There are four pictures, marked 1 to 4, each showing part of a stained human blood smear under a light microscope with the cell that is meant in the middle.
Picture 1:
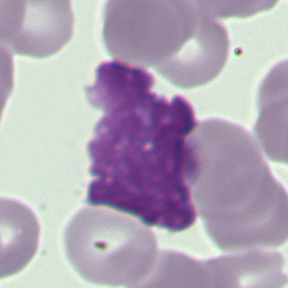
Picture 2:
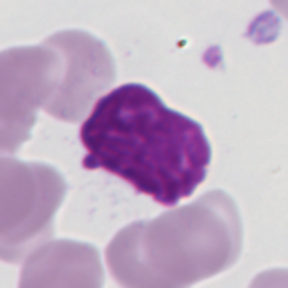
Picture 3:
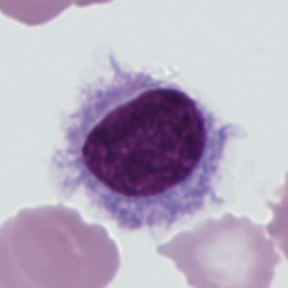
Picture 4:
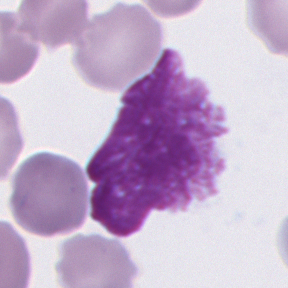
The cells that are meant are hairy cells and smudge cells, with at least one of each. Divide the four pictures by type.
1: smudge cell
2: smudge cell
3: hairy cell
4: smudge cell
